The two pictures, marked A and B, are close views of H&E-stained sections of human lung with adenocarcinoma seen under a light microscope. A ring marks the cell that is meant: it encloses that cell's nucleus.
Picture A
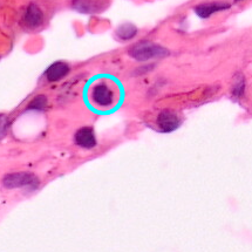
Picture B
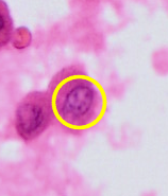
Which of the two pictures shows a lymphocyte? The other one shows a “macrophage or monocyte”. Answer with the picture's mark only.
A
